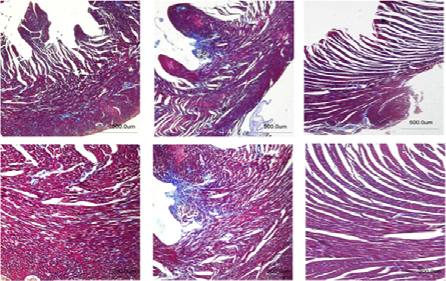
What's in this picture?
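Trabeculae project into a pale lumen at the top of several fields. Between the bundles, blue-staining fibrous connective tissue appears in places. In the middle column it forms a noticeable blue patch near the inner surface of the wall. In the right column the fibres are cut lengthwise and separated by clear clefts, giving a combed, striped look. In the left column the muscle is more compact.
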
